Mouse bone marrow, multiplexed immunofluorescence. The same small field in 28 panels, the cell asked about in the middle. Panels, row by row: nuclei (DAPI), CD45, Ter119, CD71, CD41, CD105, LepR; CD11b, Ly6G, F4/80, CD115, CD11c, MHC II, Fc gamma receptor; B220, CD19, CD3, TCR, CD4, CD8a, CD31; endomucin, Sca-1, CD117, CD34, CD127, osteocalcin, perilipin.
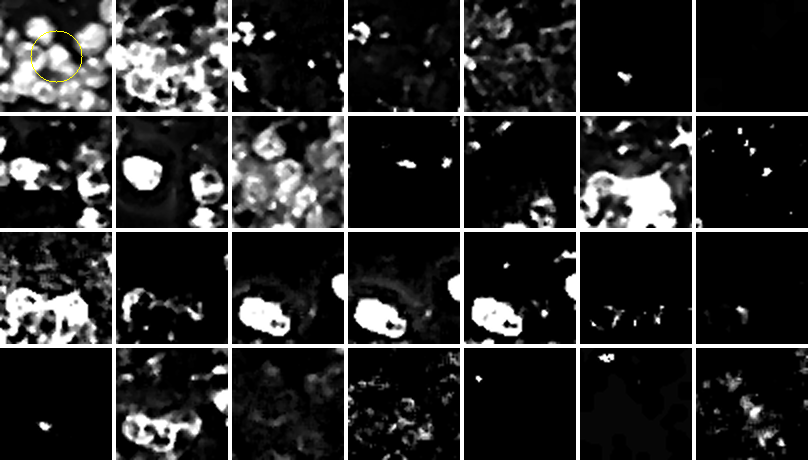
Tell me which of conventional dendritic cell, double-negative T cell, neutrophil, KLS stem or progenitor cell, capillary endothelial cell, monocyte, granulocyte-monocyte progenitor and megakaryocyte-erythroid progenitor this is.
The picture shows a monocyte.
